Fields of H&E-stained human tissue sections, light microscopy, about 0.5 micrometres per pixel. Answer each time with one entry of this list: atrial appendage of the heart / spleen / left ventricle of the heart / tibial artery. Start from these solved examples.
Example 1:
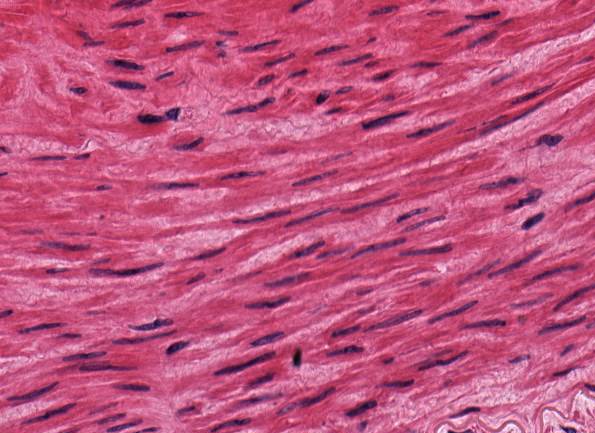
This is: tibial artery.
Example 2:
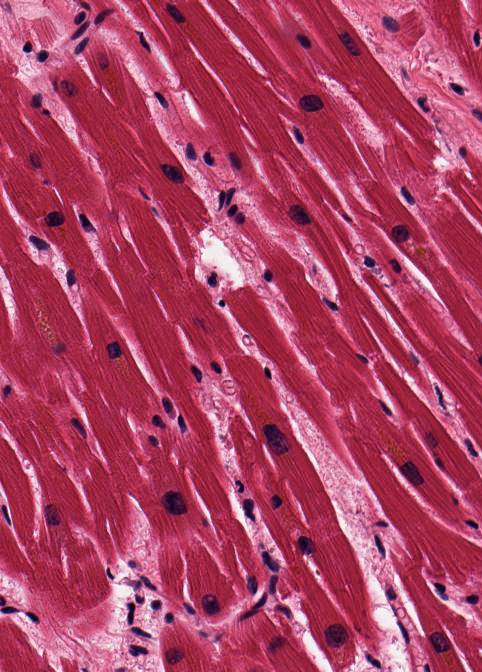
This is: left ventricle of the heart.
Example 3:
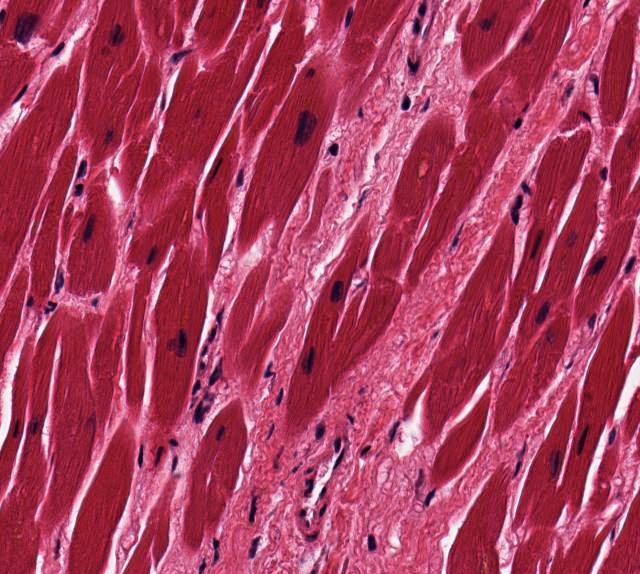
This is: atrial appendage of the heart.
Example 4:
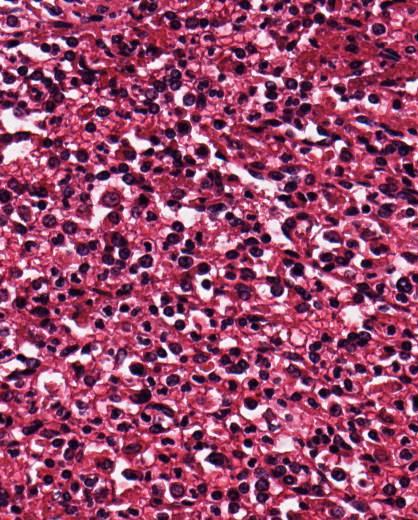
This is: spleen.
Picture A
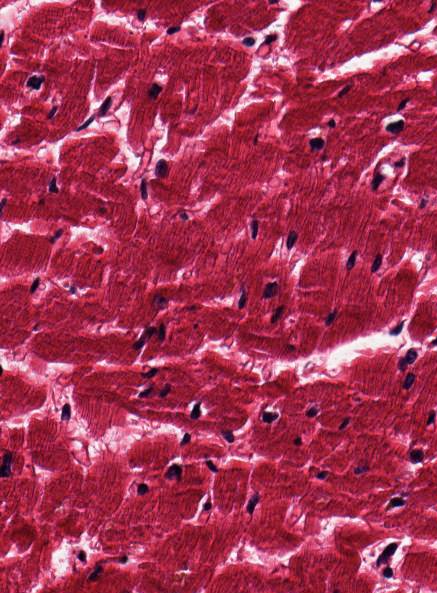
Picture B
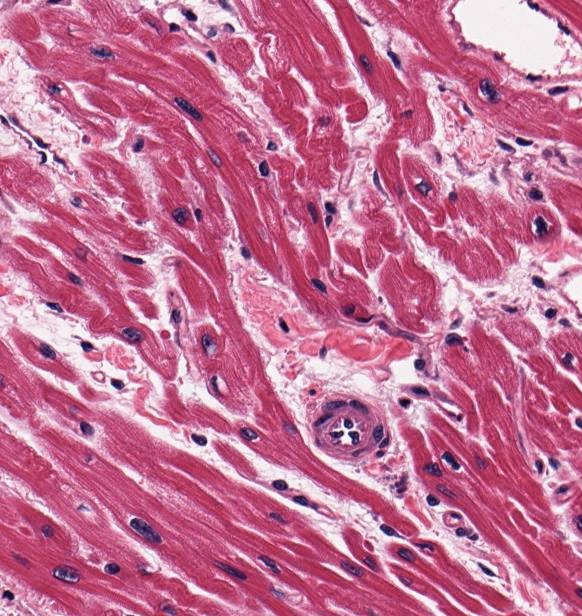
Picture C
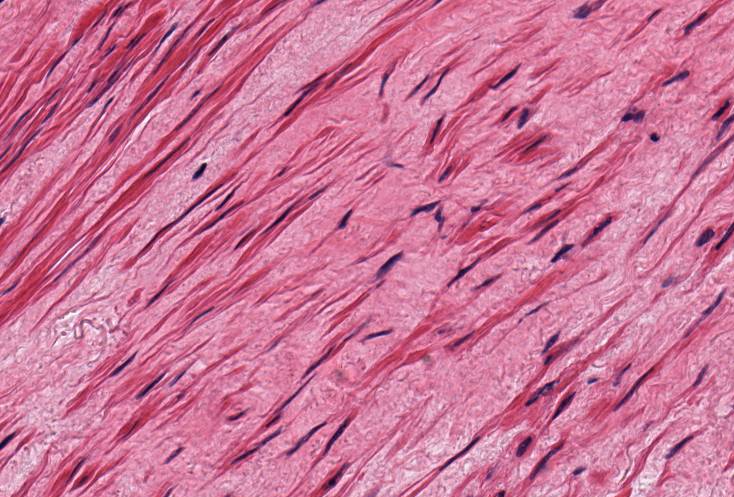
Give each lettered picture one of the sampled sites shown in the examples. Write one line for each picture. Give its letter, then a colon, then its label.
A: left ventricle of the heart.
B: atrial appendage of the heart.
C: tibial artery.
